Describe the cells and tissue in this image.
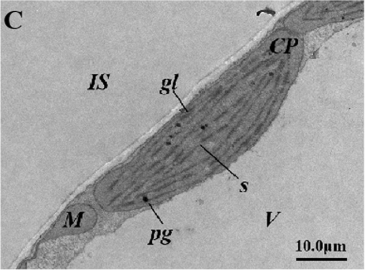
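Here a mesophyll cell shows an elongated chloroplast lying along the cell wall, bordering an intercellular space on one side and the large vacuole on the other. Its interior is filled with many parallel stacks of thylakoid membranes running along the long axis, with small dark plastoglobuli scattered between them. A rounded mitochondrion sits at one end of the chloroplast in the thin peripheral cytoplasm.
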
